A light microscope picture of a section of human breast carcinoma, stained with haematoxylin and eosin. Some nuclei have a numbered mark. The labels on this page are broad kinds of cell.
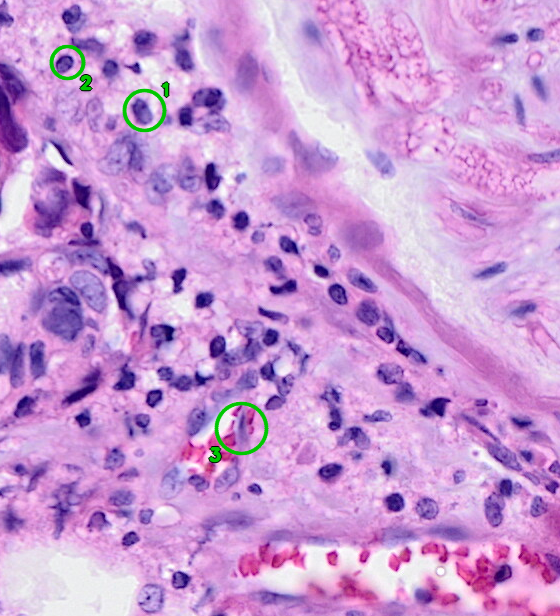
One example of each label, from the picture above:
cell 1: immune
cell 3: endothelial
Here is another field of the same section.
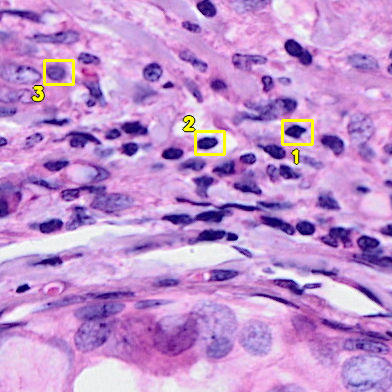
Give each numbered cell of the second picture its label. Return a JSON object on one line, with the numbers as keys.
{"1": "immune", "2": "immune", "3": "endothelial"}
